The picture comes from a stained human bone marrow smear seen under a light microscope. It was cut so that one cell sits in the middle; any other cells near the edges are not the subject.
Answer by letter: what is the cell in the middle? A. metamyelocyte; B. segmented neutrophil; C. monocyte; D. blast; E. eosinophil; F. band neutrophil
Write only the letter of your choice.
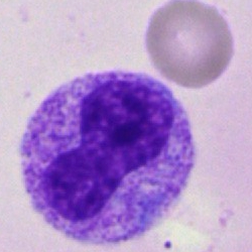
A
